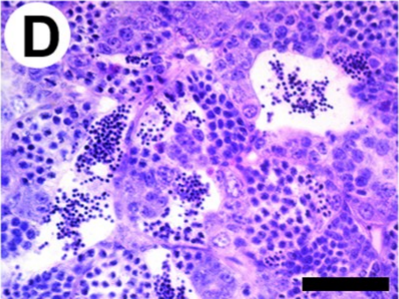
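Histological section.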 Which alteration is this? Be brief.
A small number of mature spermatozoa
